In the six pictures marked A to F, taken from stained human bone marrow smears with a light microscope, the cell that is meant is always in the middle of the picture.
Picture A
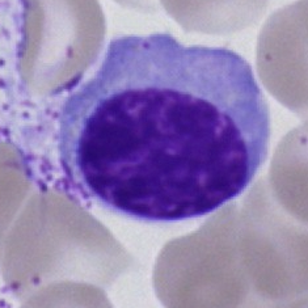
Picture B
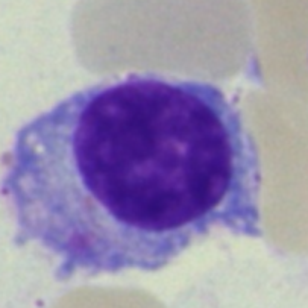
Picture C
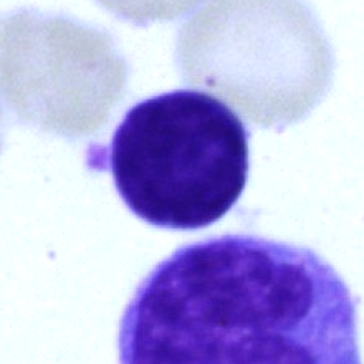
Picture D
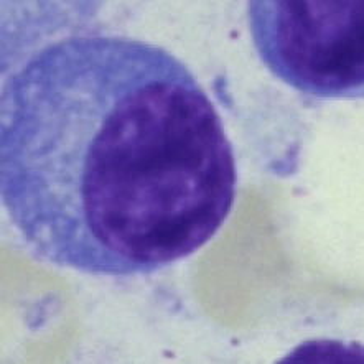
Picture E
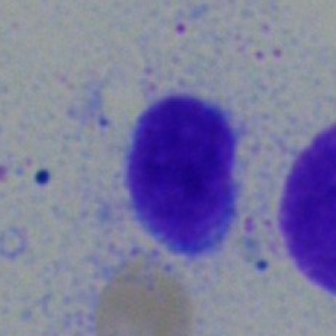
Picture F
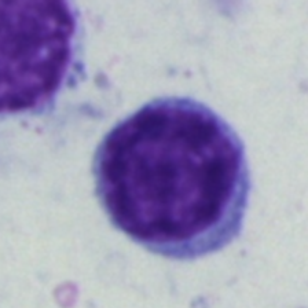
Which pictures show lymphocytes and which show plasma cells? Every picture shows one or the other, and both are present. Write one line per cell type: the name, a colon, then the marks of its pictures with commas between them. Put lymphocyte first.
lymphocyte: C, E, F
plasma cell: A, B, D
